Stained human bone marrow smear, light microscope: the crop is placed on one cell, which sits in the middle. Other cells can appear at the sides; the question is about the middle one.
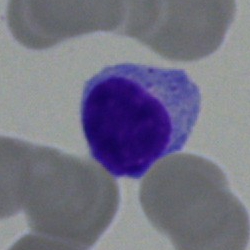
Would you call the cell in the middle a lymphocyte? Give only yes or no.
yes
